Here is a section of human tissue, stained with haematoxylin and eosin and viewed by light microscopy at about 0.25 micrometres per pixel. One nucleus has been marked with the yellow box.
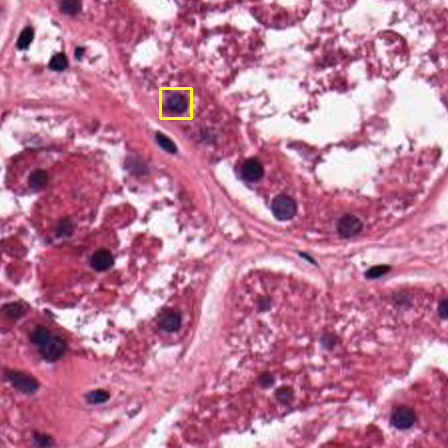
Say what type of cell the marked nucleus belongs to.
proximal tubule cell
